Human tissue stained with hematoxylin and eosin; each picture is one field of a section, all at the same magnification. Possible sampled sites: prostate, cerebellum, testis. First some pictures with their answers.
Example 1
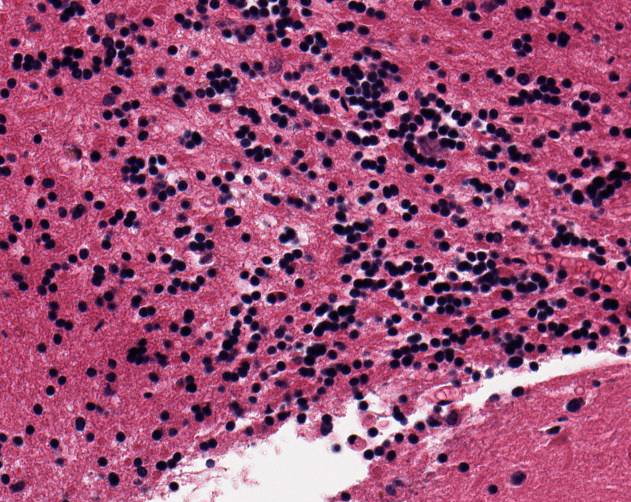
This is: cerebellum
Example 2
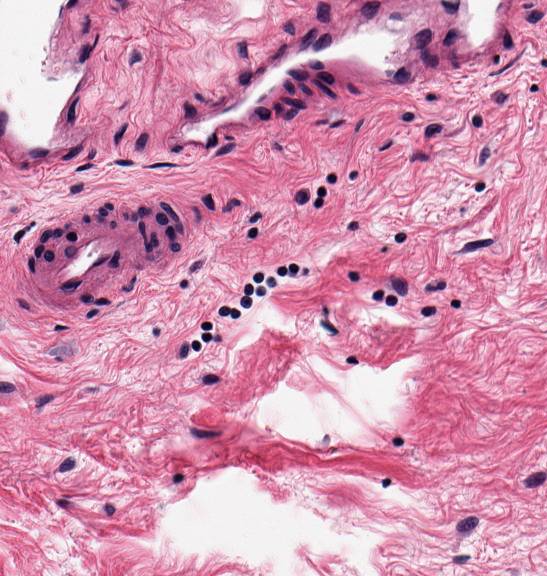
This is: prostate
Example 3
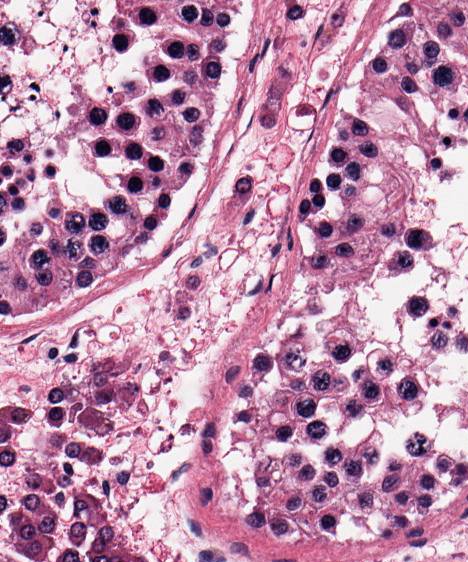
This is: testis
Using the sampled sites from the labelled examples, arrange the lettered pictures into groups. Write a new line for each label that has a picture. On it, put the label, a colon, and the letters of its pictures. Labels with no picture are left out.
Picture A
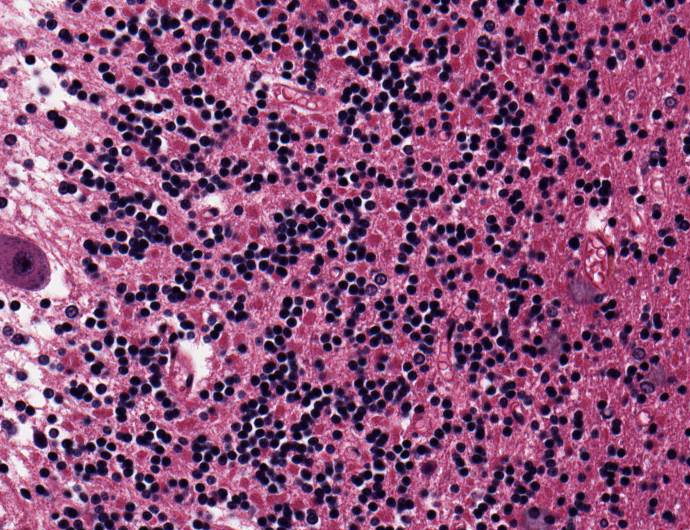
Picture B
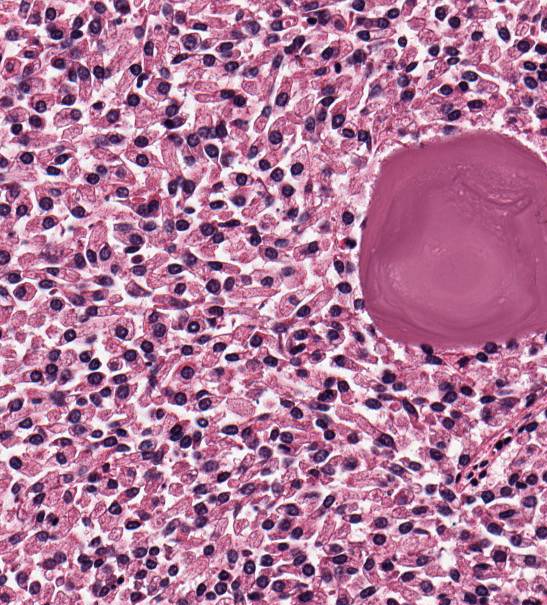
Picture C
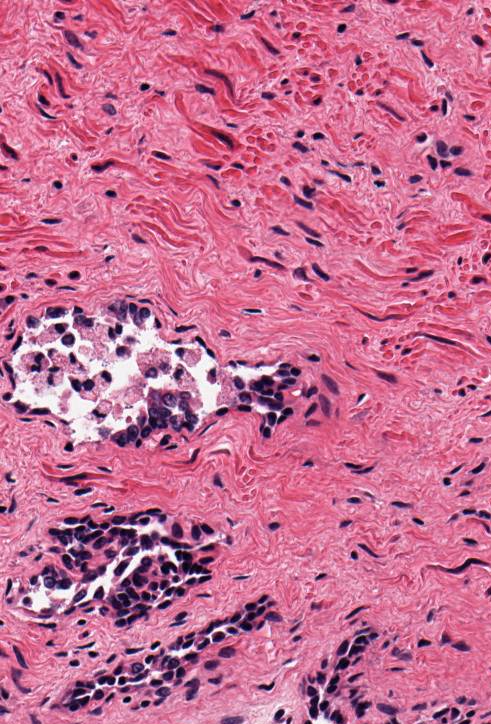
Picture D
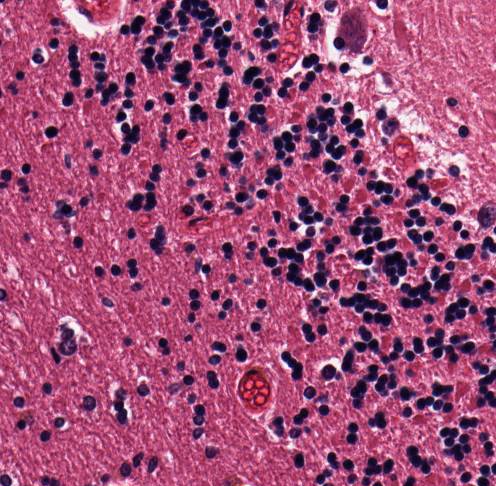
prostate: B, C
cerebellum: A, D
